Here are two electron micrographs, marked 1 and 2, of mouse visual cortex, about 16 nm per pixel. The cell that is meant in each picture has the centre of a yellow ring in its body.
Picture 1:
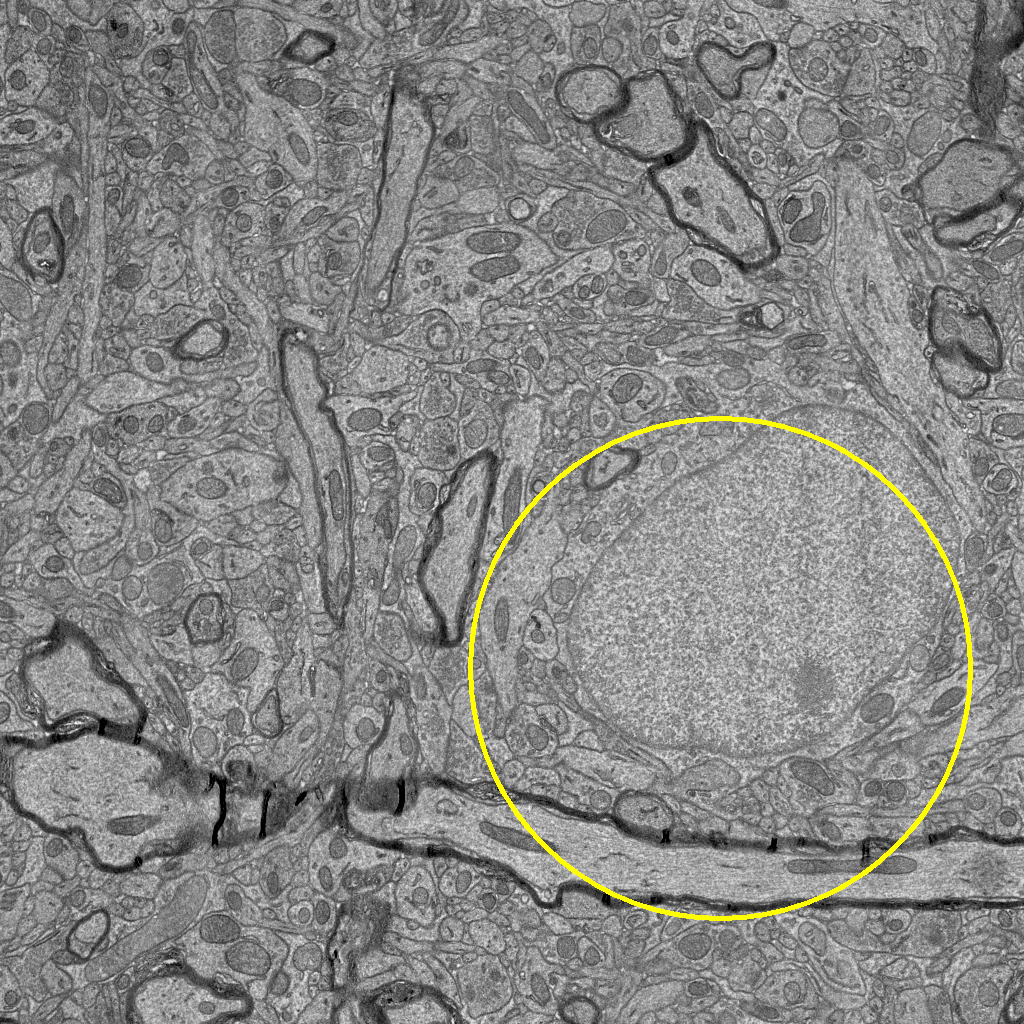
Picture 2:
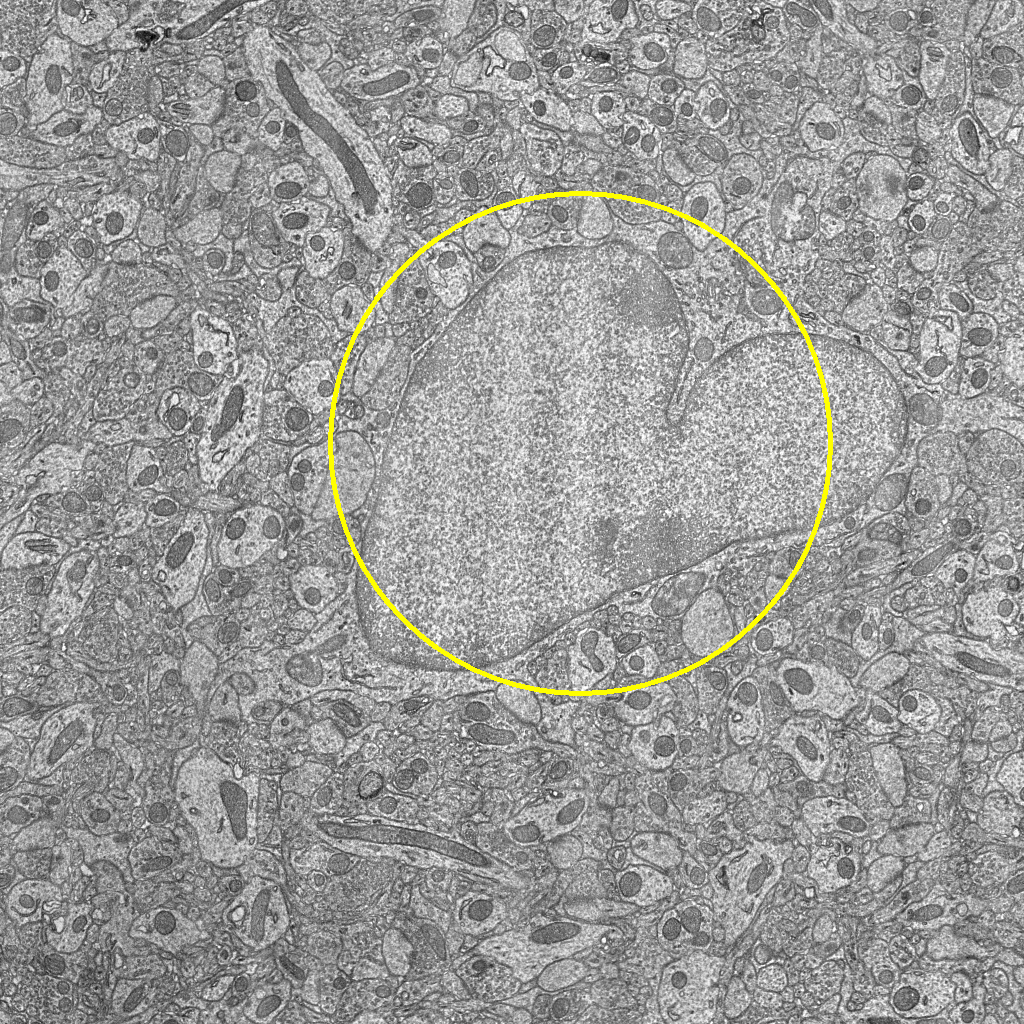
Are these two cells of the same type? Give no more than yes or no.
yes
